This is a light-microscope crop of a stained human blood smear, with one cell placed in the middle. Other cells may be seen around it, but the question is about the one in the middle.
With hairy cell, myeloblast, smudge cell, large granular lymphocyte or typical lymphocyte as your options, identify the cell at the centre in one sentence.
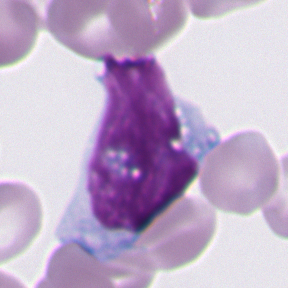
Standing at the centre of this crop is a typical lymphocyte.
